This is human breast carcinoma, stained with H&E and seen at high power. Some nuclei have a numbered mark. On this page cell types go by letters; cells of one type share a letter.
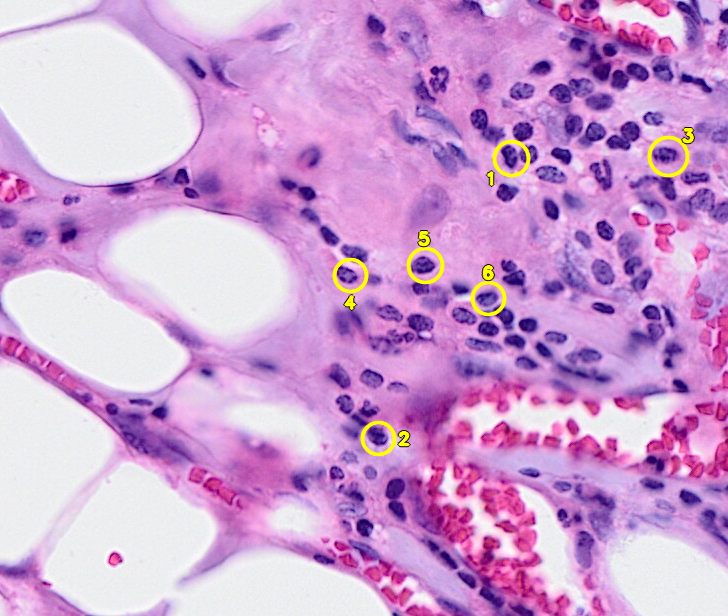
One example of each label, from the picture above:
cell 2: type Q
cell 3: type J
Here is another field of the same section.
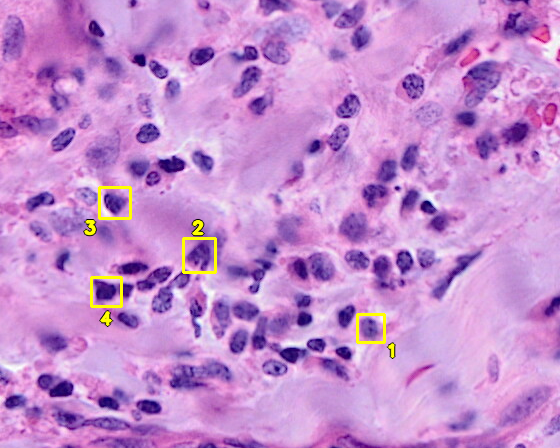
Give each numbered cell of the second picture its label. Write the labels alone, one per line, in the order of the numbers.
type J
type Q
type Q
type Q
